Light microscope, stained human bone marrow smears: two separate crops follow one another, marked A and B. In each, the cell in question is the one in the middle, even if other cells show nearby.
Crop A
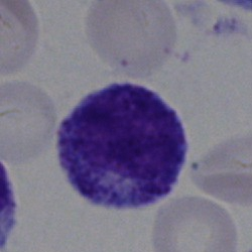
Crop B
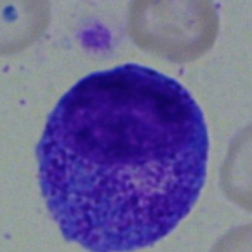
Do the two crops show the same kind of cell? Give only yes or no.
yes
